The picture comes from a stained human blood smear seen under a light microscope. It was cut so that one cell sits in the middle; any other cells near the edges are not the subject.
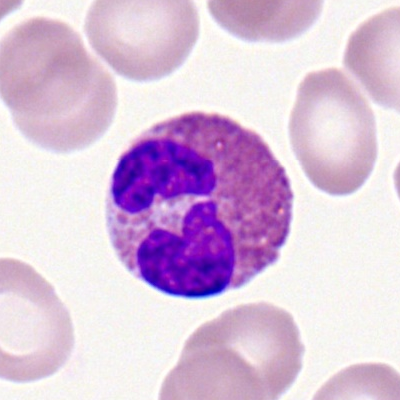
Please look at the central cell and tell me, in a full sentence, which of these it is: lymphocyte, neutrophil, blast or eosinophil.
At the center of the crop sits an eosinophil.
